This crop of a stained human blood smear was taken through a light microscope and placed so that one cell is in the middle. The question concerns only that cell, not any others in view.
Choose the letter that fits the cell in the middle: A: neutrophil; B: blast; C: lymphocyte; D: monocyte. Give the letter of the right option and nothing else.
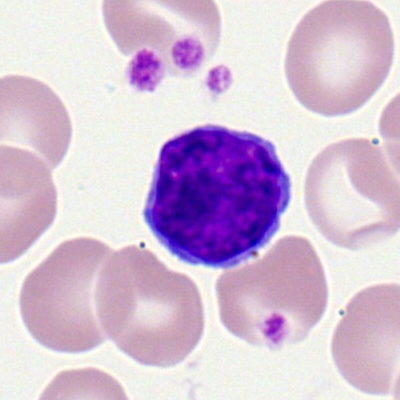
C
